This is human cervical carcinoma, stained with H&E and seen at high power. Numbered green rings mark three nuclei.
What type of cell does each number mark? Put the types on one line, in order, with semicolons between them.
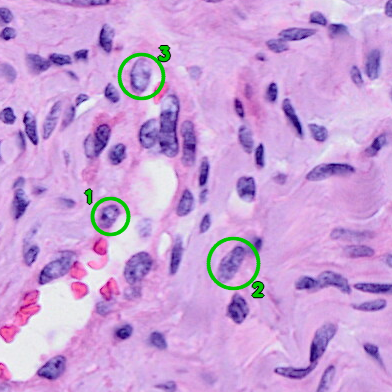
endothelial cell; fibroblast; endothelial cell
